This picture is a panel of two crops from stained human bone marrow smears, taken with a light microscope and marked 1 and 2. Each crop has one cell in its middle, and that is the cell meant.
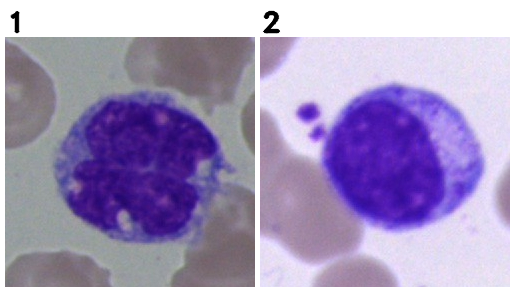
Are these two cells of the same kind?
no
